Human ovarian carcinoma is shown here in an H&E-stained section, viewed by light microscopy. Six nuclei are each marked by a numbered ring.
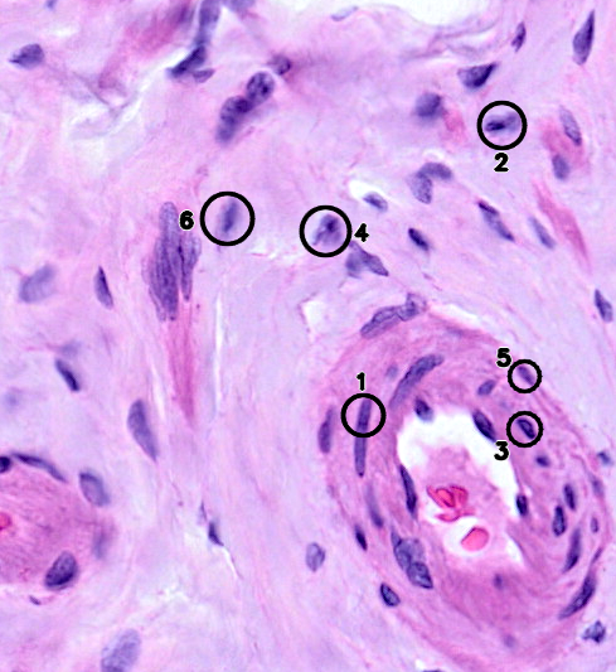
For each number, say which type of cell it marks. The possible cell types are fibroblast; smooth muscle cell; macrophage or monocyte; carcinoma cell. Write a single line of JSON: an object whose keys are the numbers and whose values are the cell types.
{"1": "smooth muscle cell", "2": "fibroblast", "3": "smooth muscle cell", "4": "fibroblast", "5": "smooth muscle cell", "6": "fibroblast"}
